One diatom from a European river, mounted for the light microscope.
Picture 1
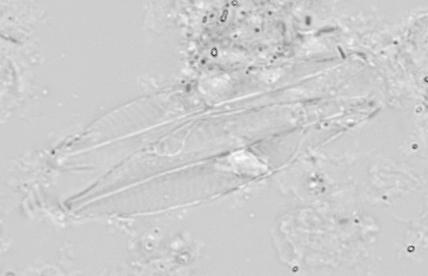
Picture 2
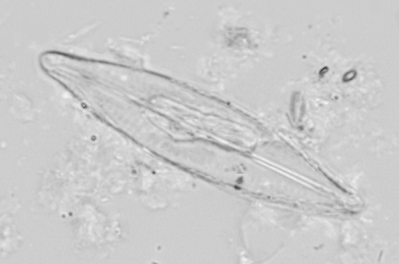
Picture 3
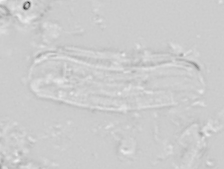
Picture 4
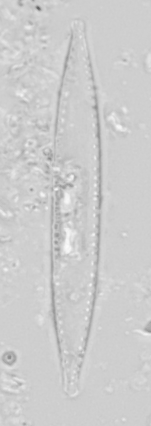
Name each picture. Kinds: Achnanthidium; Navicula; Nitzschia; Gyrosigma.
(1) Navicula
(2) Navicula
(3) Achnanthidium
(4) Nitzschia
